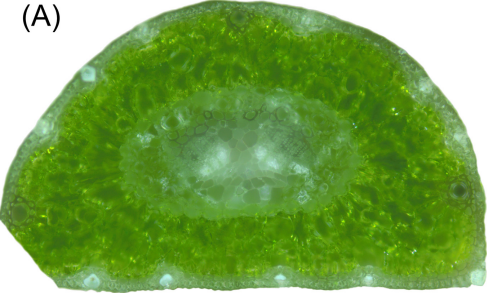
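This cross-section of a pine needle shows a half-moon outline with a broad ring of dense green mesophyll tissue surrounding a pale, oval central vascular tissue. The central vascular tissue is translucent and pale, with polygonal cell outlines visible inside it. A thin, pale rim of epidermal and hypodermal tissue bounds the whole section, with a few small dark round spots lying just beneath it.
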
